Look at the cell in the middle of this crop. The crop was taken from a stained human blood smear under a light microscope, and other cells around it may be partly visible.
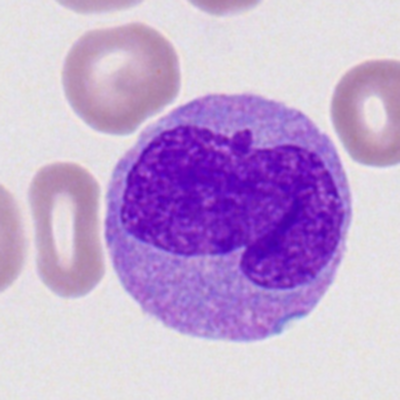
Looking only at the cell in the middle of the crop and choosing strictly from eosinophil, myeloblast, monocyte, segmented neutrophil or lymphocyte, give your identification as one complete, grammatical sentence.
This crop is built around a monocyte at its centre.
